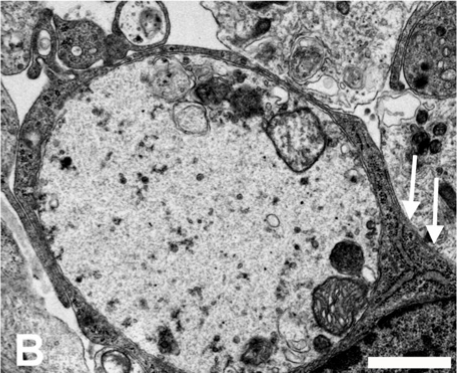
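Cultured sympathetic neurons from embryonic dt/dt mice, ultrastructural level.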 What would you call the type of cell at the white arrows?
Schwann cell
